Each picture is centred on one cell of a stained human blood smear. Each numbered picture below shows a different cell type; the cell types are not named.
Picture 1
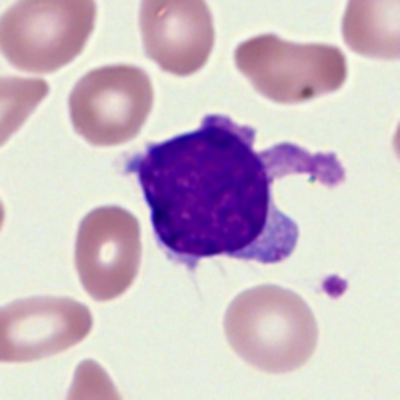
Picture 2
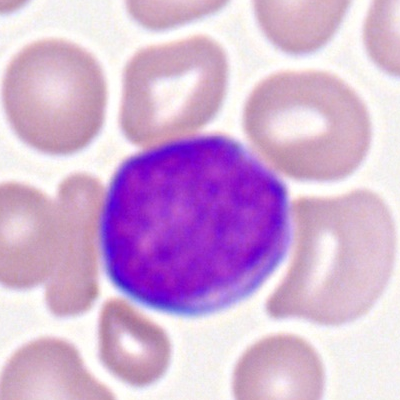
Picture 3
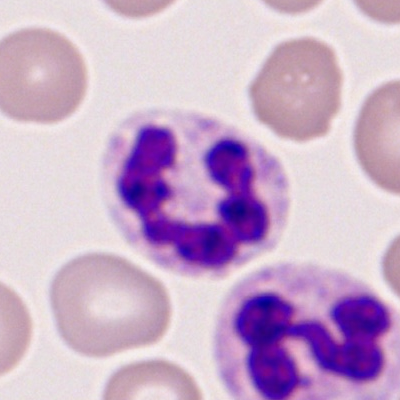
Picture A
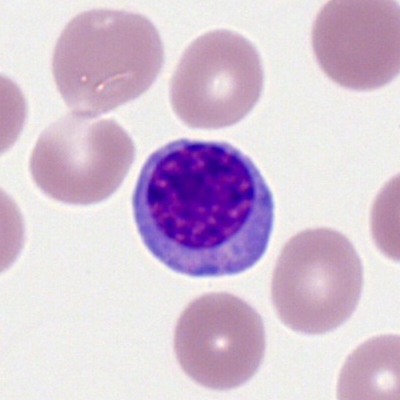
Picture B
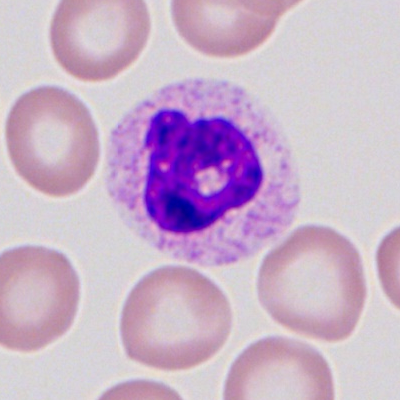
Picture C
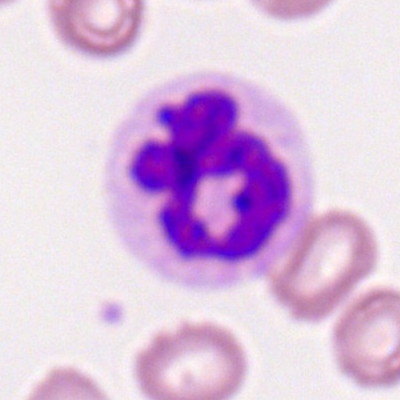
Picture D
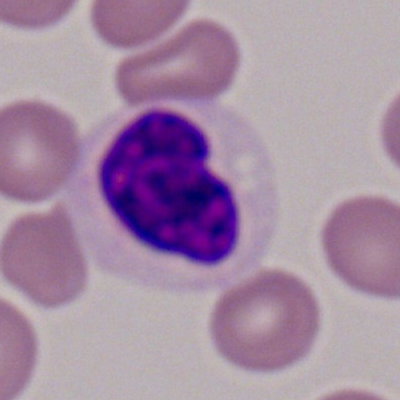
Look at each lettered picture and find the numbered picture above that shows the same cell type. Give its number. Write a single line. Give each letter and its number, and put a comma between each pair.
A 1, B 3, C 3, D 3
